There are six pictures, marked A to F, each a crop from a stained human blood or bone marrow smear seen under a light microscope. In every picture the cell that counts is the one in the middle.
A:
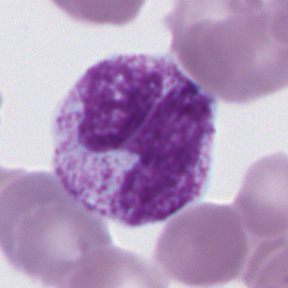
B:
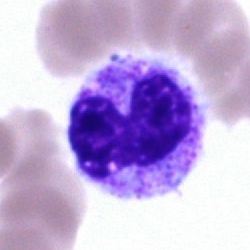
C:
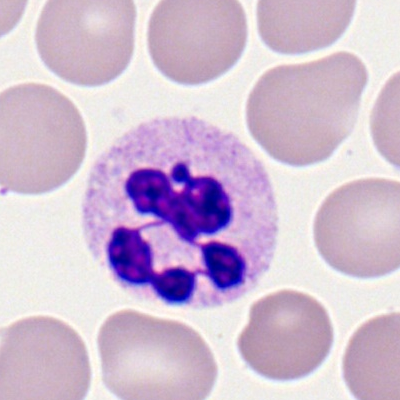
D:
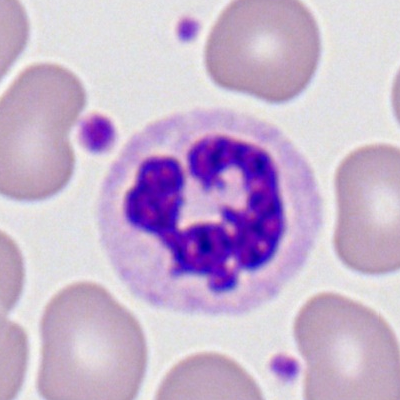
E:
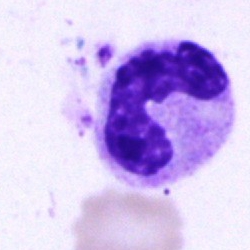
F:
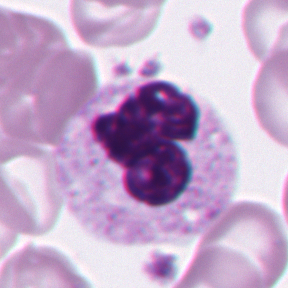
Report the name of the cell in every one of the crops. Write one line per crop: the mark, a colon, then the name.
A: band neutrophil
B: band neutrophil
C: segmented neutrophil
D: segmented neutrophil
E: band neutrophil
F: segmented neutrophil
